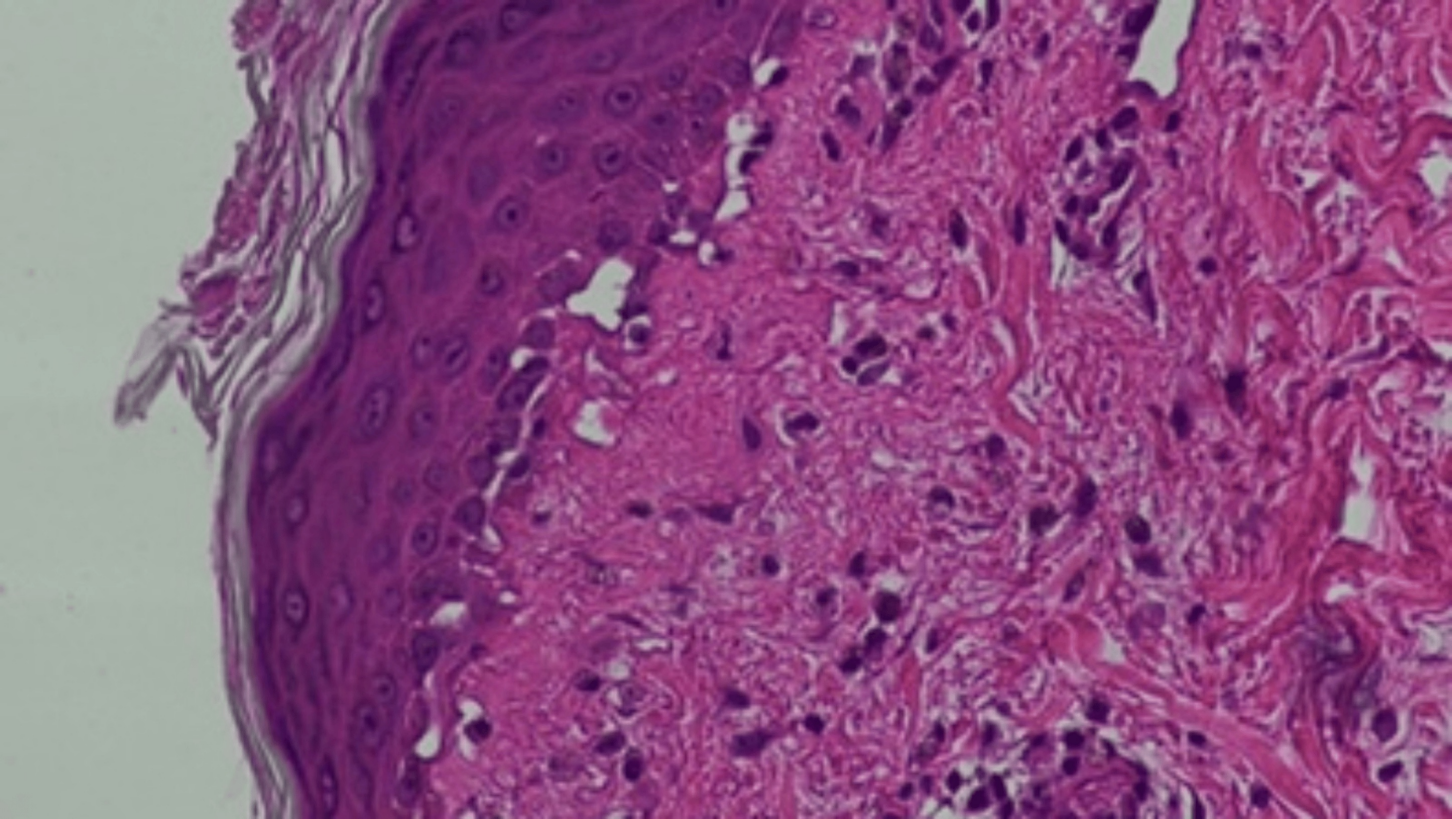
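This is skin with the epidermis running down the left side and the dermis filling the rest of the field. The epidermis is a purple stratified squamous layer topped by thin, flaky, basket-weave pink keratin. Along its lower edge, where it meets the dermis, small clear vacuoles sit patchily among the basal cells, so the junction looks blurred rather than crisp. The upper dermis holds pink, somewhat loose and wispy collagen with scattered dark-nucleated inflammatory cells, some clustered around small vessels toward the lower right.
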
